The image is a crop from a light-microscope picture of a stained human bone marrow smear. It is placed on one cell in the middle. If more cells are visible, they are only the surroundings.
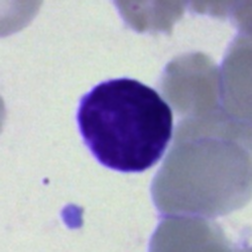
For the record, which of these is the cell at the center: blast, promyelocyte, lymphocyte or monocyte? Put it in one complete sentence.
Present in the middle of the crop is a lymphocyte.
